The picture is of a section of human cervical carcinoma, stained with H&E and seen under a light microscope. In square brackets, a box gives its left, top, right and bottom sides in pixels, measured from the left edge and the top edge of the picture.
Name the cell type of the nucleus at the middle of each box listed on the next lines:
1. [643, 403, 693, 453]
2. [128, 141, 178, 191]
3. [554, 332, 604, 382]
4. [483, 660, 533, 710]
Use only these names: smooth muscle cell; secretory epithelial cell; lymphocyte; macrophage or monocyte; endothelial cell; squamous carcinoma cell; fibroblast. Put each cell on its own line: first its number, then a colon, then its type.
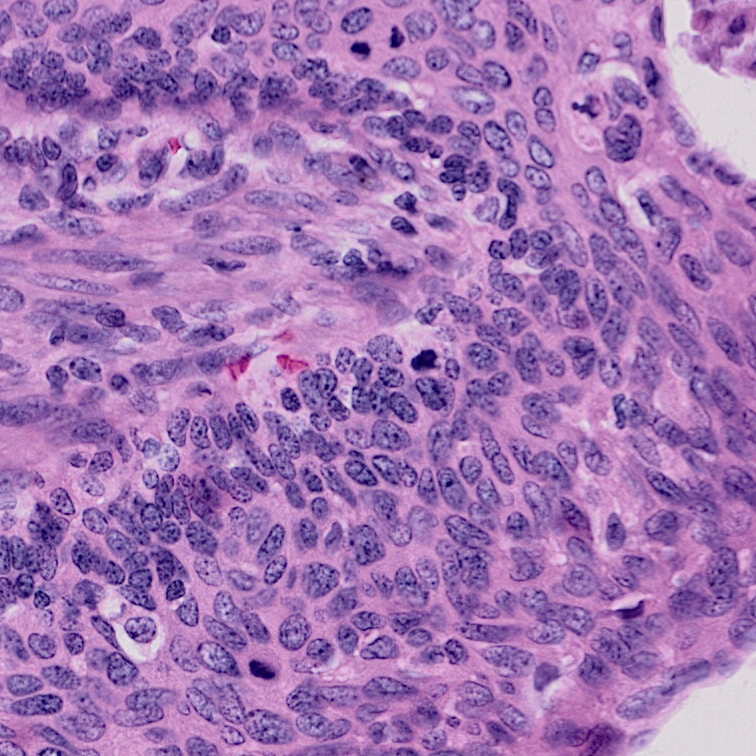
1: squamous carcinoma cell
2: endothelial cell
3: squamous carcinoma cell
4: squamous carcinoma cell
